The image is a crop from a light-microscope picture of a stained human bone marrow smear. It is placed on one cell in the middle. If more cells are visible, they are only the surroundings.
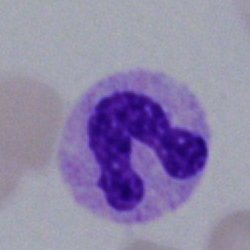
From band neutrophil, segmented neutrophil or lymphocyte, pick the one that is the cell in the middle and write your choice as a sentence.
At the middle of the frame sits a segmented neutrophil.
